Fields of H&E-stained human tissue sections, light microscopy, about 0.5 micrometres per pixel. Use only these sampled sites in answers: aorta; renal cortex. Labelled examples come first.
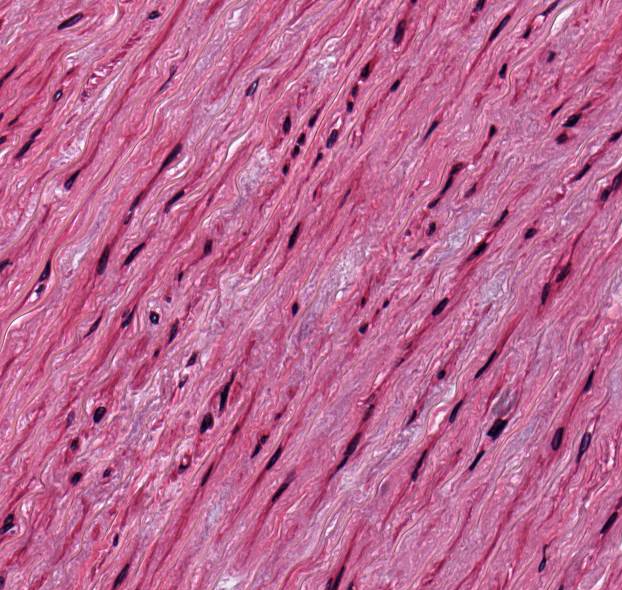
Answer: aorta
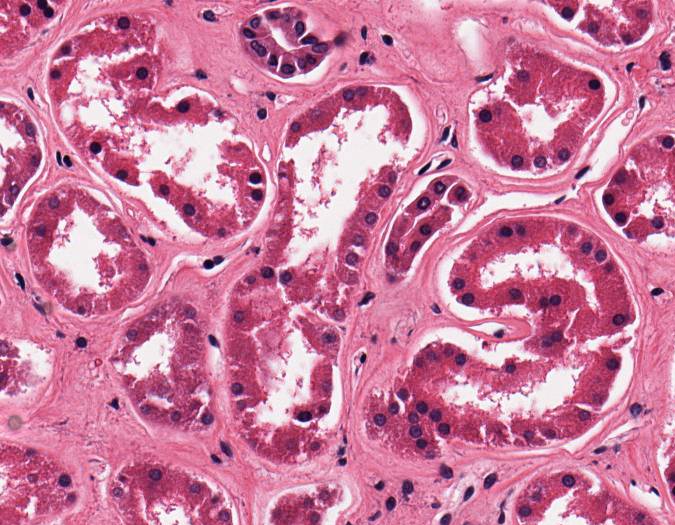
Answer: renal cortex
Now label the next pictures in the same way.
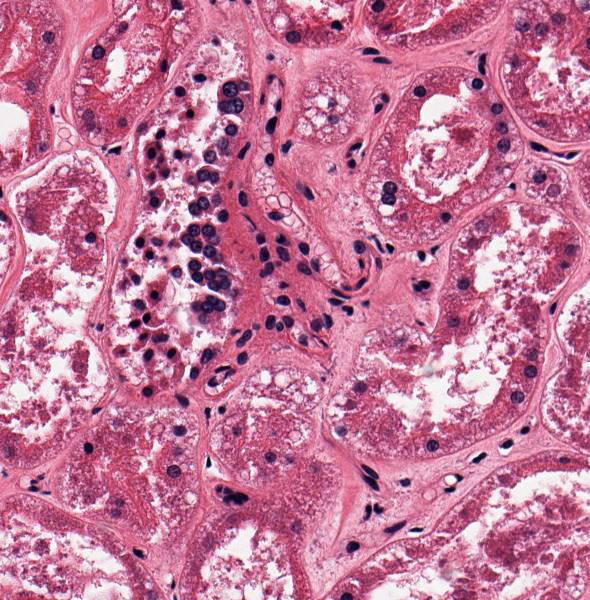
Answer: renal cortex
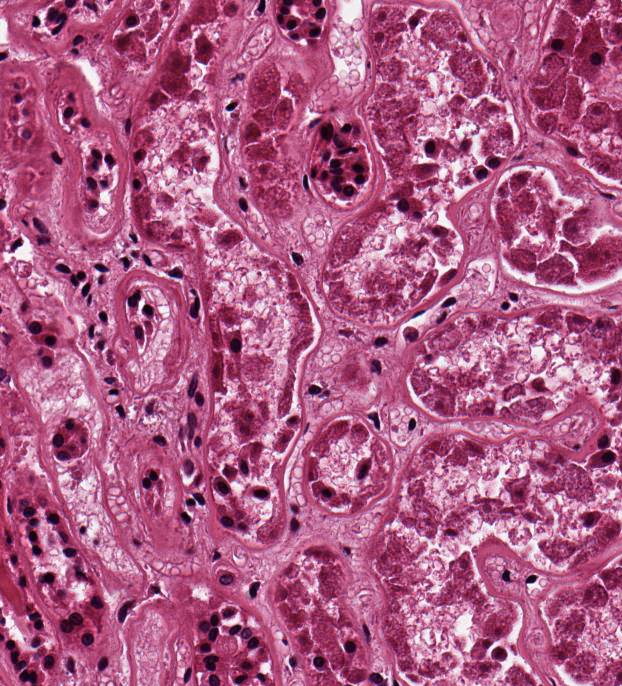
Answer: renal cortex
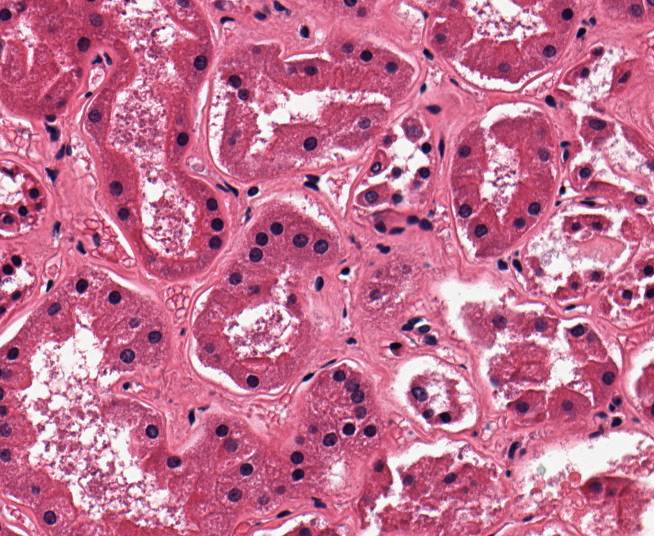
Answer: renal cortex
